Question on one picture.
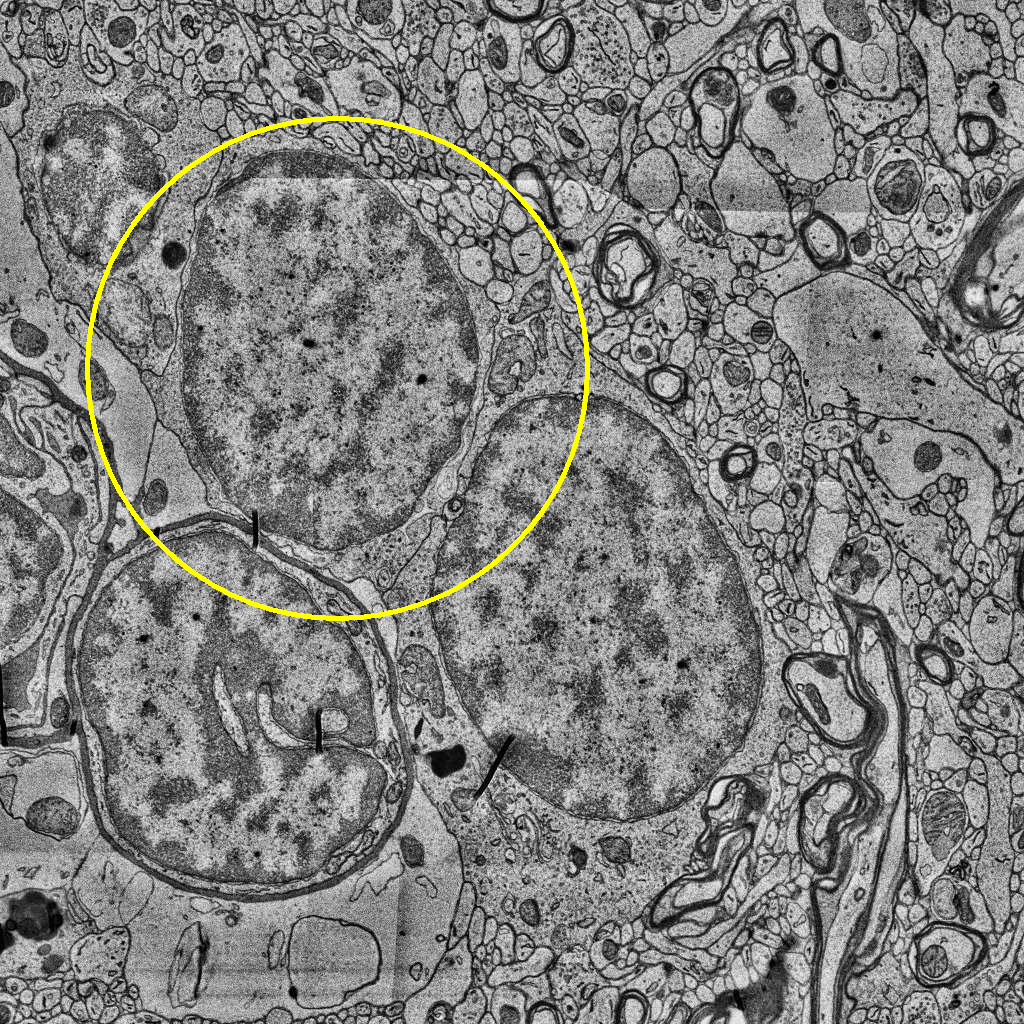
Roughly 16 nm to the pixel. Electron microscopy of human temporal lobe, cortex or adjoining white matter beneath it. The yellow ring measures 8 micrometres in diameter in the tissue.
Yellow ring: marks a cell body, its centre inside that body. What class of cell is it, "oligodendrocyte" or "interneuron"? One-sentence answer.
This is an oligodendrocyte, the cell at the ring's centre.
